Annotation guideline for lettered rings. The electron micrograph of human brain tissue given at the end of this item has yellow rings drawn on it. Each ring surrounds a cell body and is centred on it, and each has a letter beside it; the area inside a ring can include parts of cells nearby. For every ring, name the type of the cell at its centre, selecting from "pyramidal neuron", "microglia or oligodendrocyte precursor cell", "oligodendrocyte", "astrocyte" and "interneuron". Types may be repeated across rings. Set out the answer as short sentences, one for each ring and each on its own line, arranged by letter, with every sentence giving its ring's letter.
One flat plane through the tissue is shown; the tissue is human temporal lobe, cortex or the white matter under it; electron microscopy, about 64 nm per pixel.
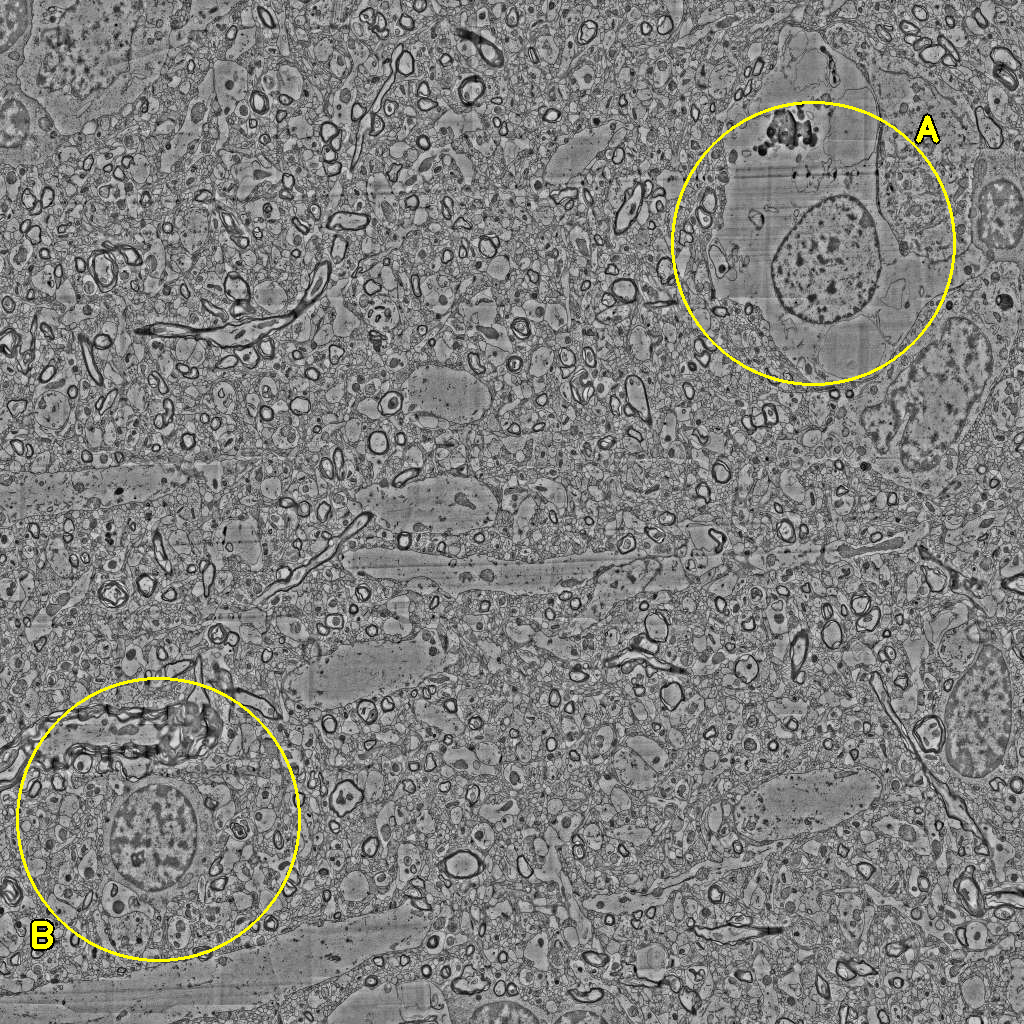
The cell centred in ring A is an astrocyte.
The cell centred in ring B is an oligodendrocyte.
